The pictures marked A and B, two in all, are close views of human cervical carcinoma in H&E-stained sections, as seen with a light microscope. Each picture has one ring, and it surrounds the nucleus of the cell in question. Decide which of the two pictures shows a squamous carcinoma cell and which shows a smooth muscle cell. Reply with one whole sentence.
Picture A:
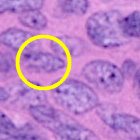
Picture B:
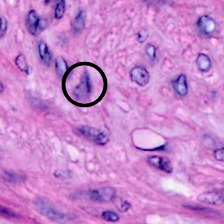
Picture B shows a smooth muscle cell, while picture A shows a squamous carcinoma cell.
